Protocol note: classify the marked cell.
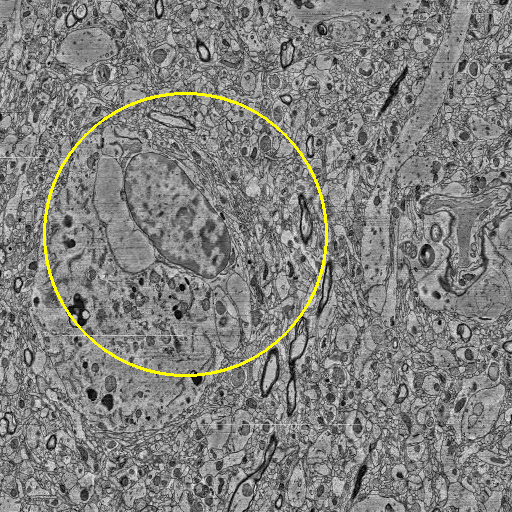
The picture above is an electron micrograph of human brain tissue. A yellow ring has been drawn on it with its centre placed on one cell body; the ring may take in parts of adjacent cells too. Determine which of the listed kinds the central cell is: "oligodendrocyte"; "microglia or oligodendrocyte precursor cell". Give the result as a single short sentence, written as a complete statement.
The central cell is a microglial cell or oligodendrocyte precursor cell.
